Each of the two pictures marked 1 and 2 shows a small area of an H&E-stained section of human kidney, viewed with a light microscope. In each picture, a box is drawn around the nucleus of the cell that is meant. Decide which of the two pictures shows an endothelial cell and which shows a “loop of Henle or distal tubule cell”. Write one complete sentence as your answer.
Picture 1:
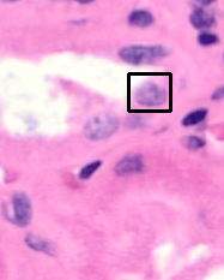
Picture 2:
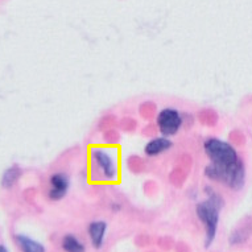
Picture 2 shows an endothelial cell, while picture 1 shows a “loop of Henle or distal tubule cell”.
